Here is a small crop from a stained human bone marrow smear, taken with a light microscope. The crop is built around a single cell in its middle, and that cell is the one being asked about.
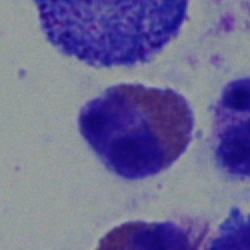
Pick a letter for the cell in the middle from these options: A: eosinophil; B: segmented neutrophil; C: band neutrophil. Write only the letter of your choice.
A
